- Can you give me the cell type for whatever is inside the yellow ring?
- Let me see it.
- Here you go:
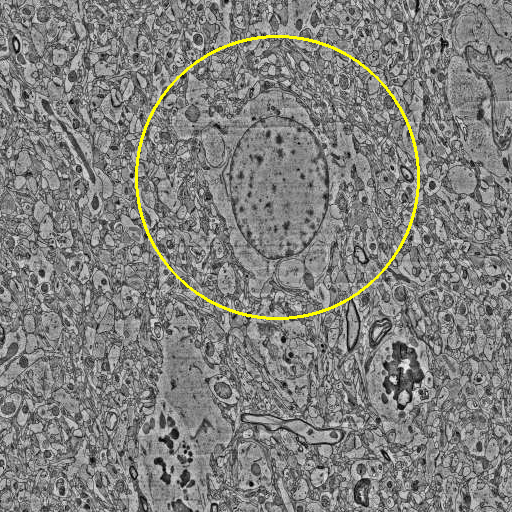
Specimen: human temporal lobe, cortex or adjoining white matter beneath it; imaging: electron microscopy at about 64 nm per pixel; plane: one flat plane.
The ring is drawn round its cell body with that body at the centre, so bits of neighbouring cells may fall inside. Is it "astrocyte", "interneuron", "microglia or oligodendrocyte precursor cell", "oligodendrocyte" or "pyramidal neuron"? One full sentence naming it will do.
The cell body in the middle of the ring in this picture belongs to an astrocyte.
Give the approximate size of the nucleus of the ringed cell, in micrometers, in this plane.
The nucleus appears roughly 9 by 6 micrometres in this plane.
